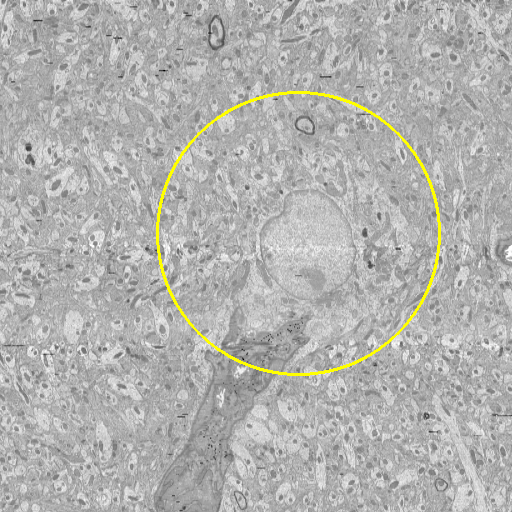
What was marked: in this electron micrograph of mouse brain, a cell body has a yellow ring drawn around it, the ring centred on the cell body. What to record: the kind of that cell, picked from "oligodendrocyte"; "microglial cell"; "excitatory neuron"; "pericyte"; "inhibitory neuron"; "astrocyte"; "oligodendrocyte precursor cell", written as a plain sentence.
The centred cell is an astrocyte.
